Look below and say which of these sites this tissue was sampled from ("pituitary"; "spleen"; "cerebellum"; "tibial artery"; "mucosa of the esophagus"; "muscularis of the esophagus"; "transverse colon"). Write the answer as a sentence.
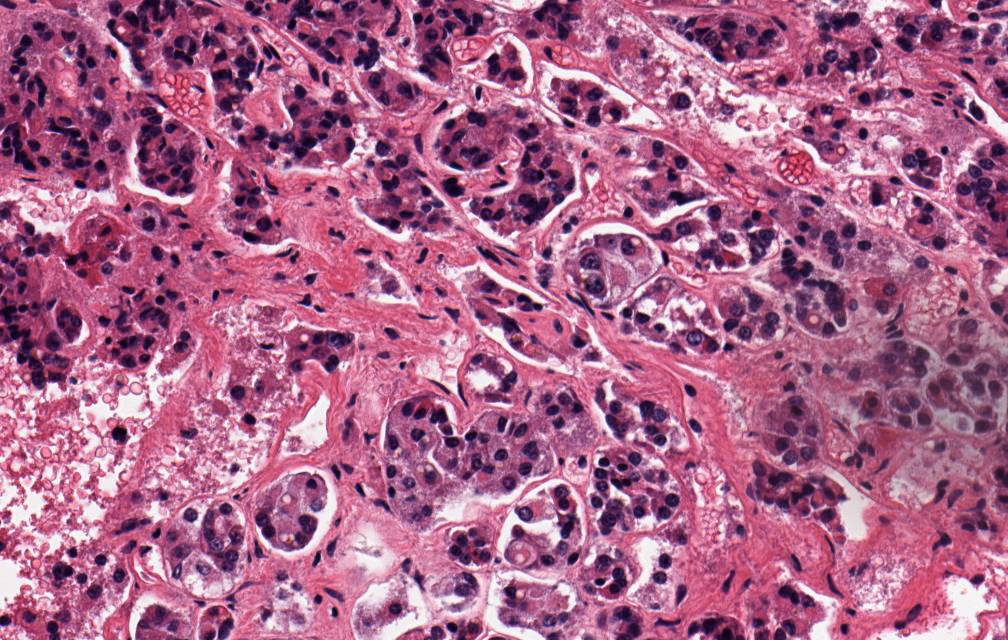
The site this tissue was sampled from is the pituitary.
